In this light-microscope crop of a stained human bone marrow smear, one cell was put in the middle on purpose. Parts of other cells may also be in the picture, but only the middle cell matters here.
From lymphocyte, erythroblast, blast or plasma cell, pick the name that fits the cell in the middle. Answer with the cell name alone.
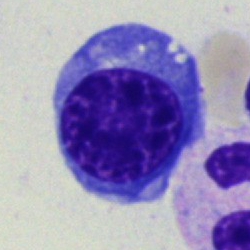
erythroblast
